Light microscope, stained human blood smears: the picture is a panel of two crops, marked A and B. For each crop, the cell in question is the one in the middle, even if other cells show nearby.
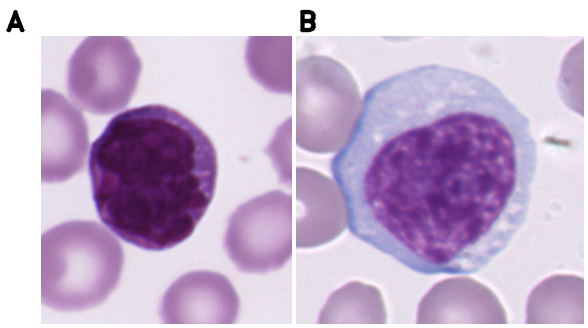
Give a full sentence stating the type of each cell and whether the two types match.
Yes, the reply for both crops is myeloblasts.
